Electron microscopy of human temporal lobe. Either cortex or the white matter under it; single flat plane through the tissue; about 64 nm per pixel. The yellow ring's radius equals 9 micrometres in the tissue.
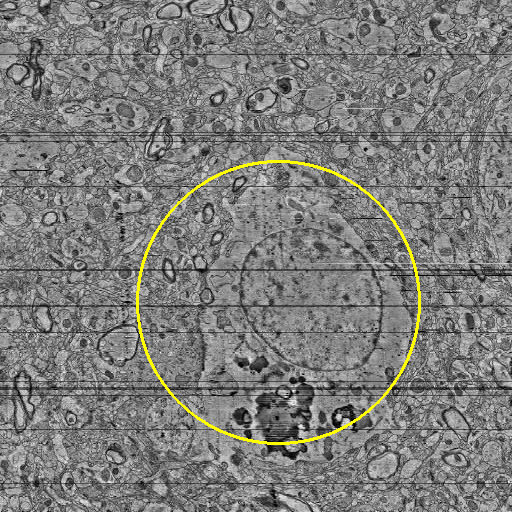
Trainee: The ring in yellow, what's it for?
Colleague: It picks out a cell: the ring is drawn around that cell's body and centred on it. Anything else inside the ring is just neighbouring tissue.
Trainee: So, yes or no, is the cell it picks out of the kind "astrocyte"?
yes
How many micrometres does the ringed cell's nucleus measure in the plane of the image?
Approximately 10 by 9 micrometers in this plane.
